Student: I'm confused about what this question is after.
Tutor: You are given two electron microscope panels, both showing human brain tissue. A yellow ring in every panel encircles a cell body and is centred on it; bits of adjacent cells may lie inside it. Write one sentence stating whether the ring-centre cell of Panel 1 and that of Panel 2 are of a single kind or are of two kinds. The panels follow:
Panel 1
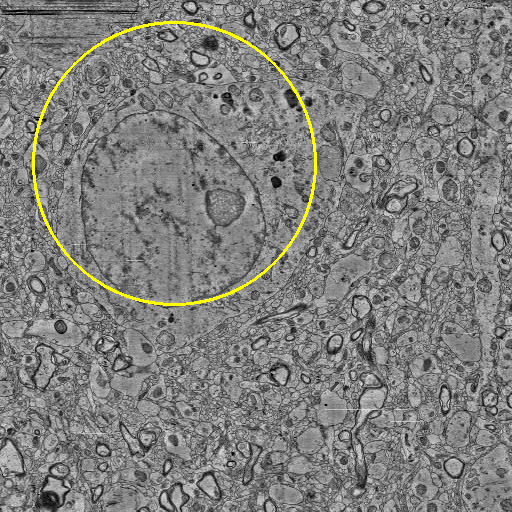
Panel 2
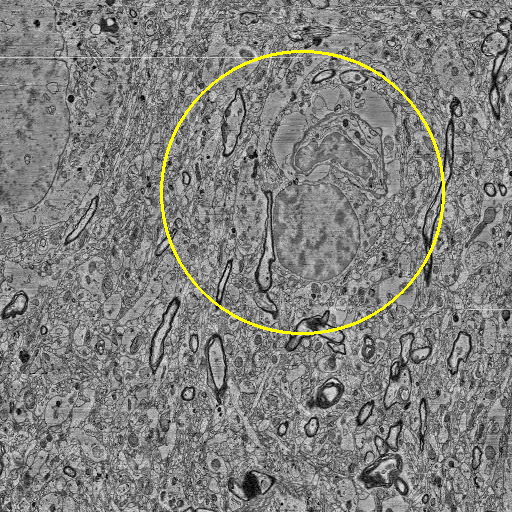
Here, the Panel 1 ring-centre cell and the Panel 2 ring-centre cell are of two kinds.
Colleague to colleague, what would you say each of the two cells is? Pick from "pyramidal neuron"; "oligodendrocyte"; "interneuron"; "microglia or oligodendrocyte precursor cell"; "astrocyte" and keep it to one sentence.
The cell in the first picture is a pyramidal neuron; the second picture's cell is an oligodendrocyte.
